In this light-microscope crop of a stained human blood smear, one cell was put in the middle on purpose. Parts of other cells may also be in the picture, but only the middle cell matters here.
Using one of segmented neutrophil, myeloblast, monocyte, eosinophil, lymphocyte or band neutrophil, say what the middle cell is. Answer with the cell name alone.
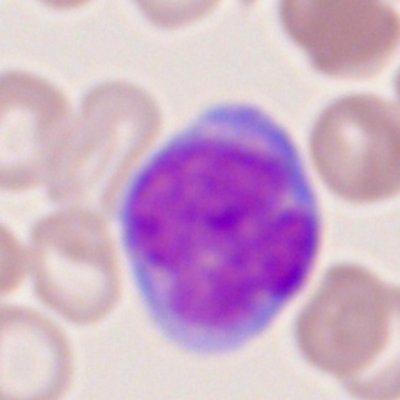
monocyte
